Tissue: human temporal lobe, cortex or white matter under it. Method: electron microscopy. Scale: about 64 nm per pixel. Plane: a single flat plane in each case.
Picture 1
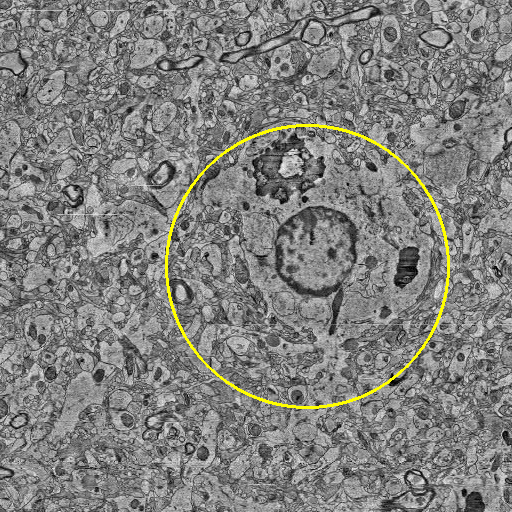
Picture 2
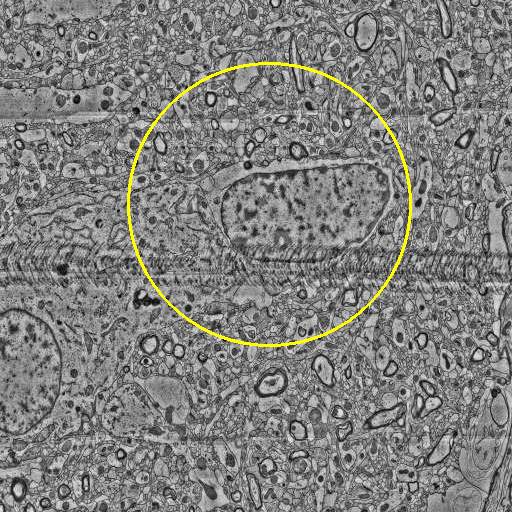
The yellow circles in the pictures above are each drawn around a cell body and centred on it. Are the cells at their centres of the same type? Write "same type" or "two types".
two types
